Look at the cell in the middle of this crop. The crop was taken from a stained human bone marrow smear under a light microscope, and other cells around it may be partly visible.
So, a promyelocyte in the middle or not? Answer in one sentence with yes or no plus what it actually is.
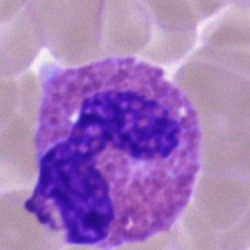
No, the central cell is properly termed an eosinophil, not a promyelocyte.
